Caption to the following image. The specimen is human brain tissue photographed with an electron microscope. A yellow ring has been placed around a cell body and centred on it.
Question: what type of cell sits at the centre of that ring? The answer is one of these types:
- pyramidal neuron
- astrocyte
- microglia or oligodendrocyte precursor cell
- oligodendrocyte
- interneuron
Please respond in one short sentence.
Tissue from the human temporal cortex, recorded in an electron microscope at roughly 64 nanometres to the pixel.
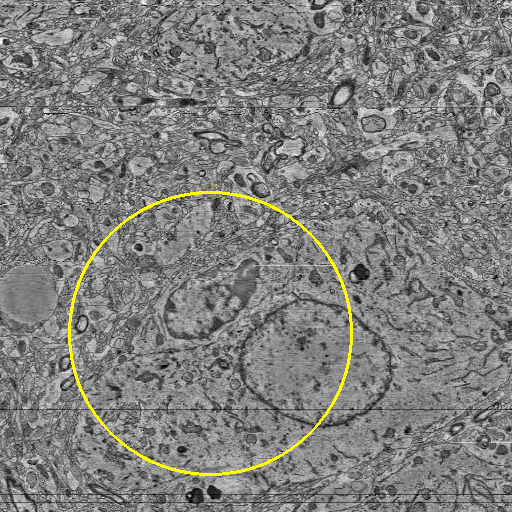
The ring surrounds the cell body of a microglial cell or oligodendrocyte precursor cell.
